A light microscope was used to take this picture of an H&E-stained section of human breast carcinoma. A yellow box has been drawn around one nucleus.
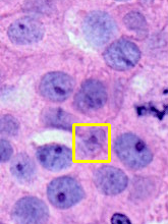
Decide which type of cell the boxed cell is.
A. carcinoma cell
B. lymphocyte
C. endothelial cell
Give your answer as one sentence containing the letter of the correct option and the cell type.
Best answer: option A, with the boxed cell being a carcinoma cell.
